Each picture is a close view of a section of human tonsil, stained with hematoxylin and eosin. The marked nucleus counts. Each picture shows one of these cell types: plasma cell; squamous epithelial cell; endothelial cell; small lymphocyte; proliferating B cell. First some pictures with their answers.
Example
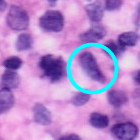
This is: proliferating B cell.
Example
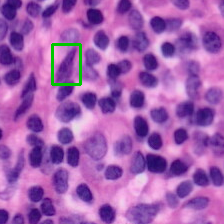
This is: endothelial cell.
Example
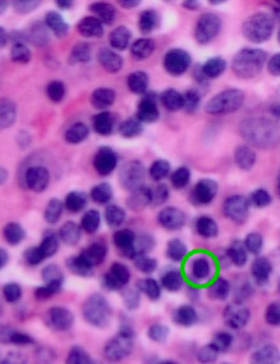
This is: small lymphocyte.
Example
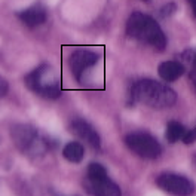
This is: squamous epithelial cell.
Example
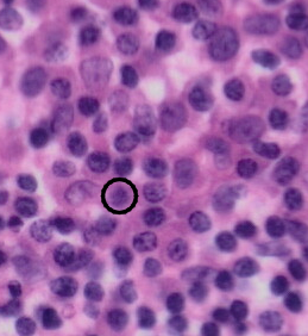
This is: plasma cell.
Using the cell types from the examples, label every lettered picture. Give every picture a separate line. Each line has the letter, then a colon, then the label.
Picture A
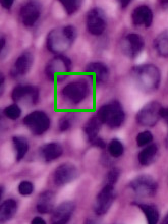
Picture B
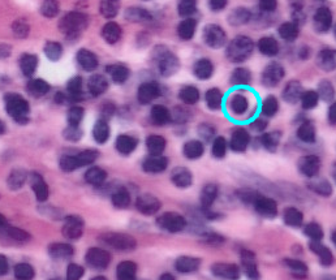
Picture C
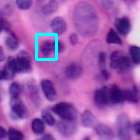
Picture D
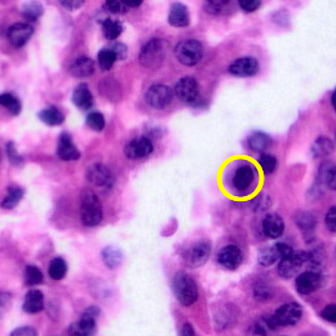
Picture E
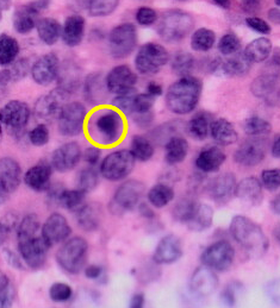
A: squamous epithelial cell.
B: small lymphocyte.
C: endothelial cell.
D: plasma cell.
E: proliferating B cell.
